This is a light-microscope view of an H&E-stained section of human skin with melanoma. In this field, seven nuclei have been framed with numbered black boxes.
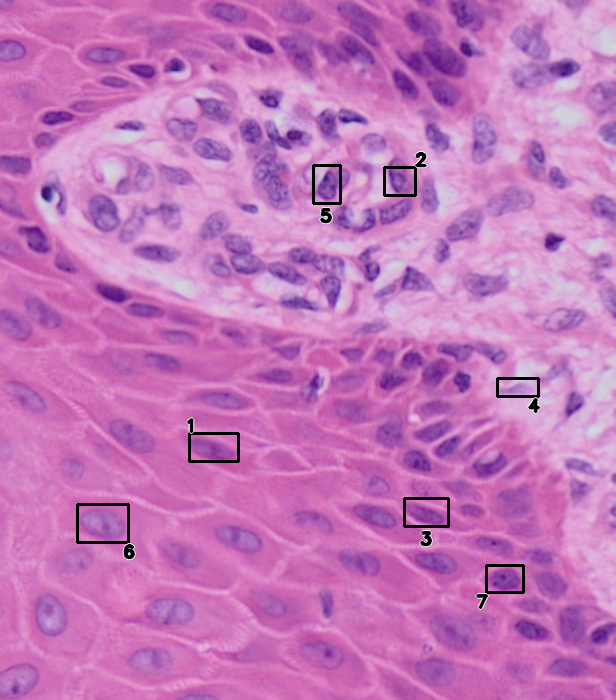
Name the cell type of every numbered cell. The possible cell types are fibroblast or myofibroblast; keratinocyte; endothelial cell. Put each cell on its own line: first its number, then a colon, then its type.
1: keratinocyte
2: endothelial cell
3: keratinocyte
4: fibroblast or myofibroblast
5: endothelial cell
6: keratinocyte
7: keratinocyte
